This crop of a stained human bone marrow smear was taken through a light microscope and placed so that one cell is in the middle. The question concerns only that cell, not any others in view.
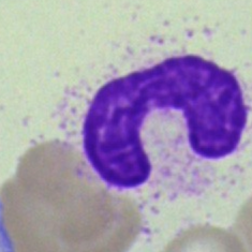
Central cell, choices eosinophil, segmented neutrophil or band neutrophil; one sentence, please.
The central element of this crop is a cell, namely a band neutrophil.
